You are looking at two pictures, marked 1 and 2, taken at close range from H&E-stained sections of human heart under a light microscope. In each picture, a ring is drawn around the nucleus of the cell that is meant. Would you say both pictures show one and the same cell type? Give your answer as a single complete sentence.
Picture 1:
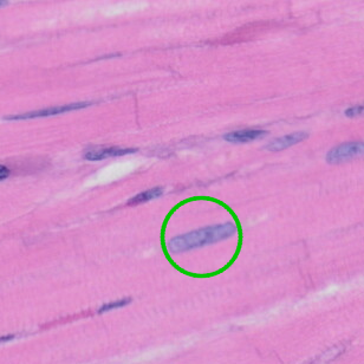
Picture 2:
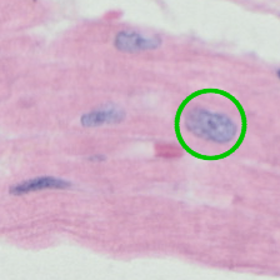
Yes, both are cardiomyocytes.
